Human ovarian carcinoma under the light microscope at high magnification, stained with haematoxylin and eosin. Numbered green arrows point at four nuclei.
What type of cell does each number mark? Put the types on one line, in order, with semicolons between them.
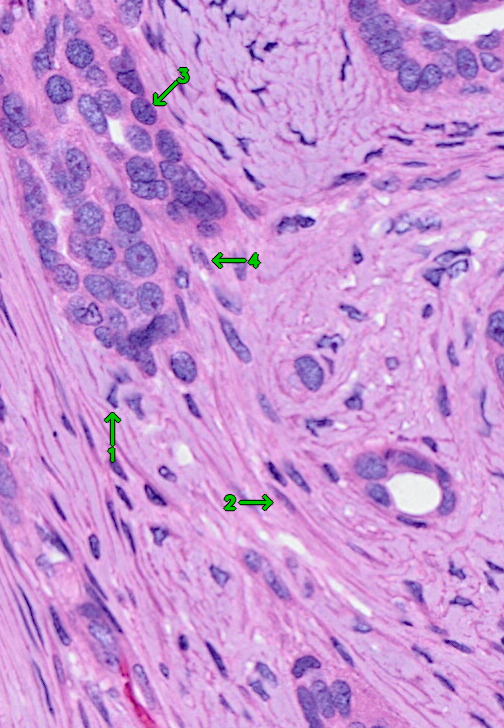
fibroblast; fibroblast; carcinoma cell; fibroblast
